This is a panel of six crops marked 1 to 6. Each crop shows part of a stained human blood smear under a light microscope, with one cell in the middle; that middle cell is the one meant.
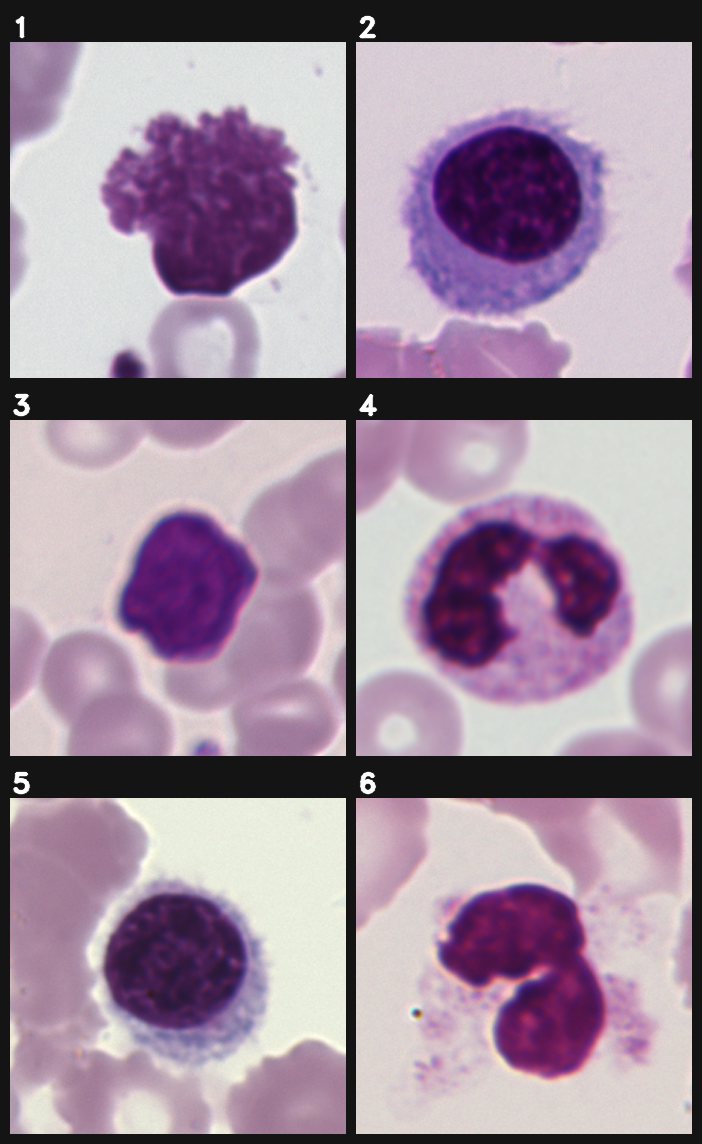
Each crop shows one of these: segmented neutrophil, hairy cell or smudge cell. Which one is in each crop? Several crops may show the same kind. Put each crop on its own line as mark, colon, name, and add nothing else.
1: smudge cell
2: hairy cell
3: smudge cell
4: segmented neutrophil
5: hairy cell
6: segmented neutrophil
